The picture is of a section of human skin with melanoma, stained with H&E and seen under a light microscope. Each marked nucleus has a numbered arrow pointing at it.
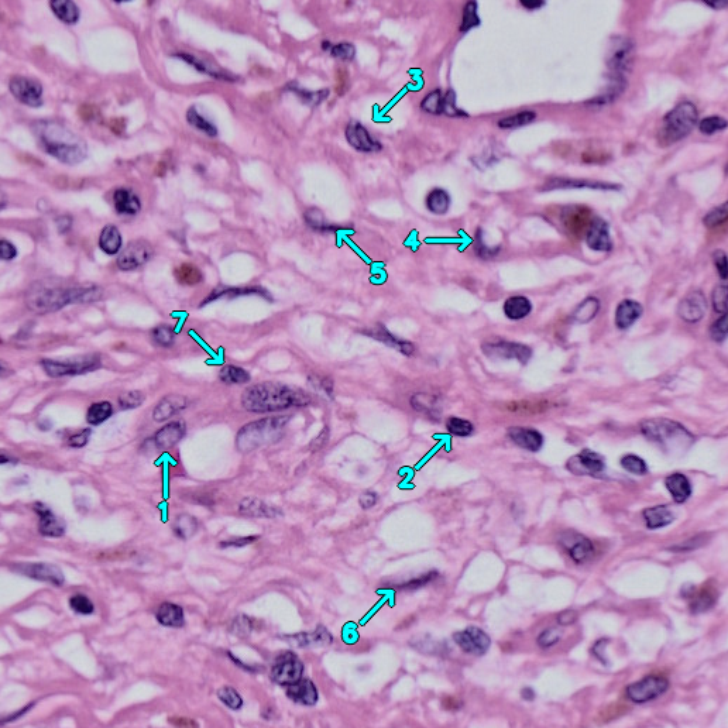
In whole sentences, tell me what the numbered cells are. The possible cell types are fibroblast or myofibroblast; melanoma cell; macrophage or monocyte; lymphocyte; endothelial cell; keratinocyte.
Cell 1 is an endothelial cell. Cells 2 and 7 are lymphocytes. Cell 3 is a macrophage or monocyte. Cells 4, 5 and 6 are fibroblasts or myofibroblasts.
